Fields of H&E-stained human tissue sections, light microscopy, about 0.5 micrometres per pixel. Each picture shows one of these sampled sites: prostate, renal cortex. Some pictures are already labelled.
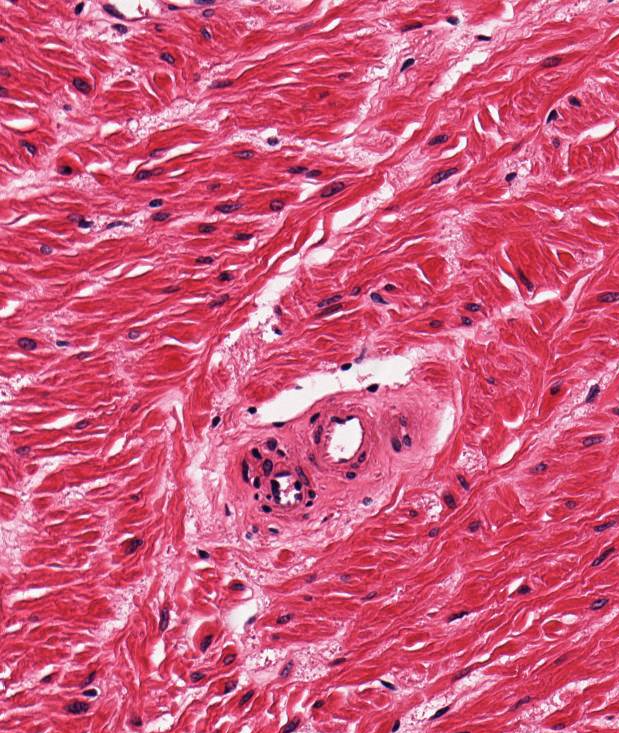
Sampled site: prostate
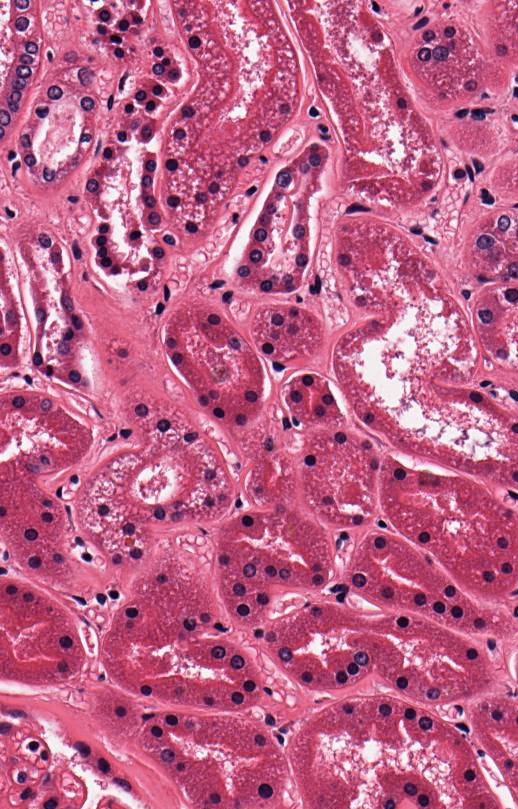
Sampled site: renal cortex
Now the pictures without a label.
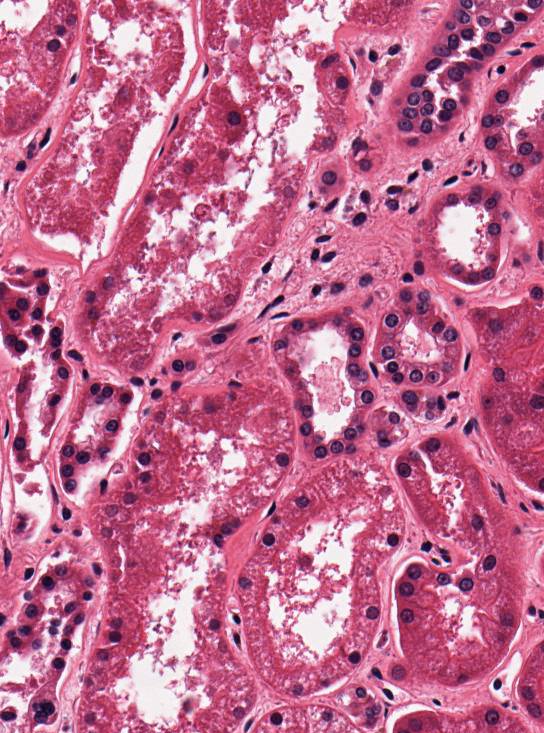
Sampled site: renal cortex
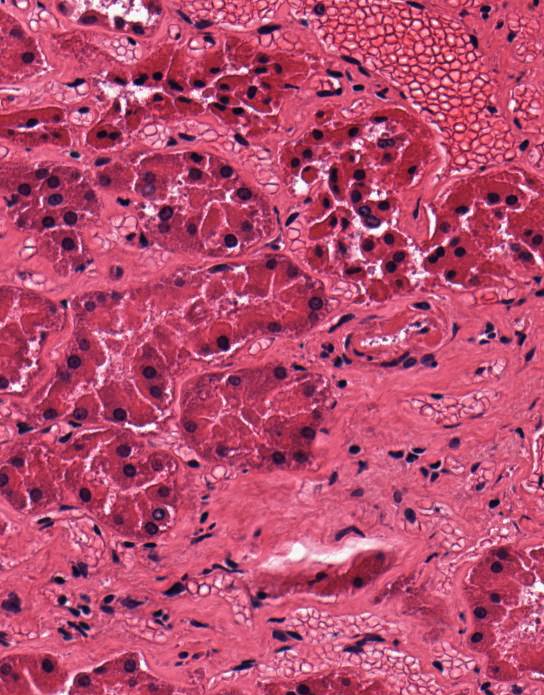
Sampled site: renal cortex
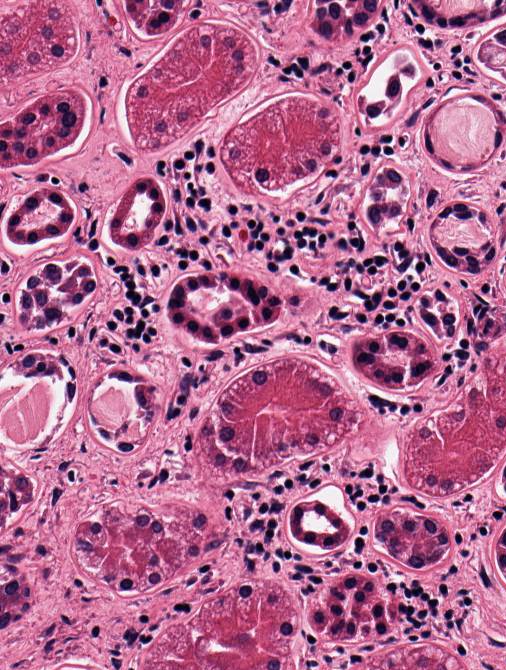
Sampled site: renal cortex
